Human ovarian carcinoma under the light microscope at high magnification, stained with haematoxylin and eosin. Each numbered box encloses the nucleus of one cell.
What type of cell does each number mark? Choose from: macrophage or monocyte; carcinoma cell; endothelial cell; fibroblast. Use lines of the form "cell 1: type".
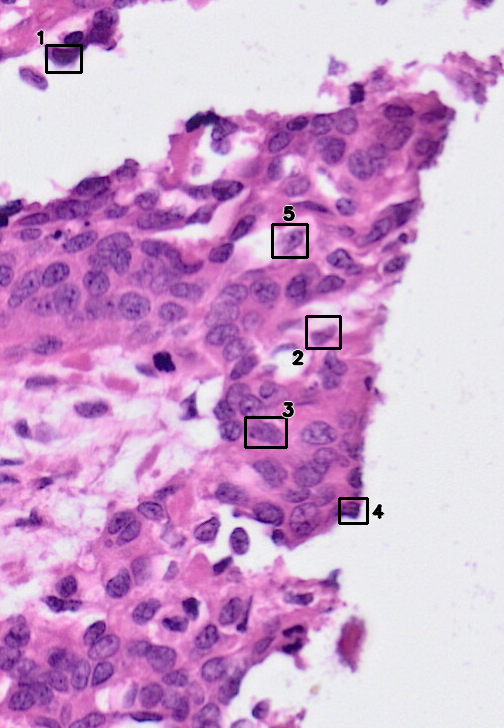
cell 1: carcinoma cell
cell 2: macrophage or monocyte
cell 3: carcinoma cell
cell 4: carcinoma cell
cell 5: macrophage or monocyte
